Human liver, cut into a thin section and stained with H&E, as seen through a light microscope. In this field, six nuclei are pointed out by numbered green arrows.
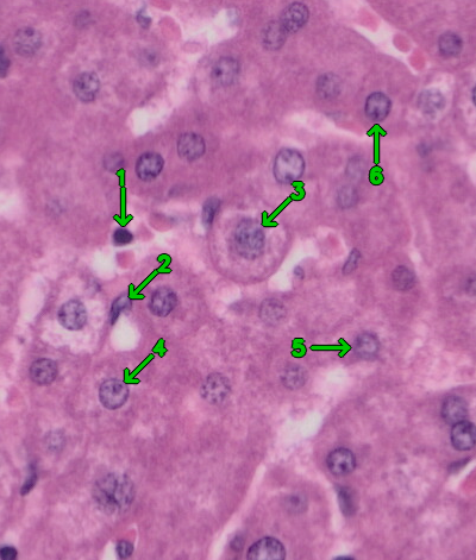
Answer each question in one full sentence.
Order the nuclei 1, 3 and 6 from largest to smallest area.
Going from the biggest nucleus down to the smallest gives 3, 6, 1.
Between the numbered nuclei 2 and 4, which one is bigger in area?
Number 4 is larger; its area is about 1.5 times that of number 2.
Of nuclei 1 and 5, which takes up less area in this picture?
Nucleus 1 is the smaller one; nucleus 5 covers about 2 times its area.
